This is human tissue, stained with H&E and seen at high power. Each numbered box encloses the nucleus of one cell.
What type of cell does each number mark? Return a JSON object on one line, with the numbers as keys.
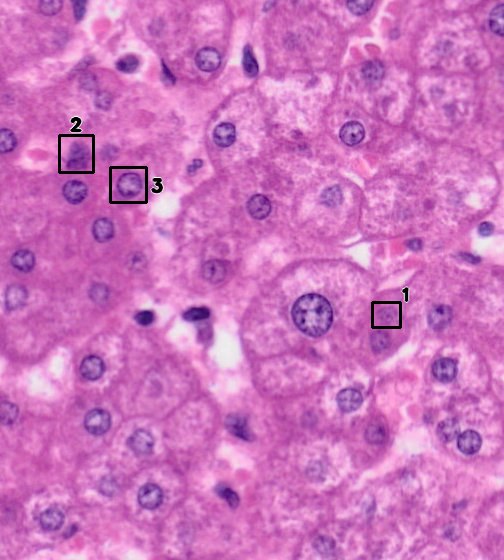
{"1": "hepatocyte", "2": "endothelial cell", "3": "hepatocyte"}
